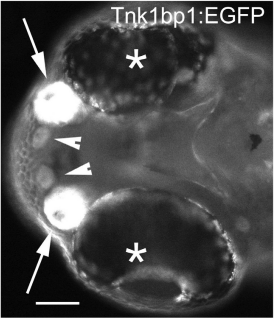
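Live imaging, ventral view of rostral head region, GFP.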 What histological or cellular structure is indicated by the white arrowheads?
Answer: Neuromasts.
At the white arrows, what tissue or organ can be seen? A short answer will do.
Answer: Olfactory epithelia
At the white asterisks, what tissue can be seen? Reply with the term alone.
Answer: eyes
